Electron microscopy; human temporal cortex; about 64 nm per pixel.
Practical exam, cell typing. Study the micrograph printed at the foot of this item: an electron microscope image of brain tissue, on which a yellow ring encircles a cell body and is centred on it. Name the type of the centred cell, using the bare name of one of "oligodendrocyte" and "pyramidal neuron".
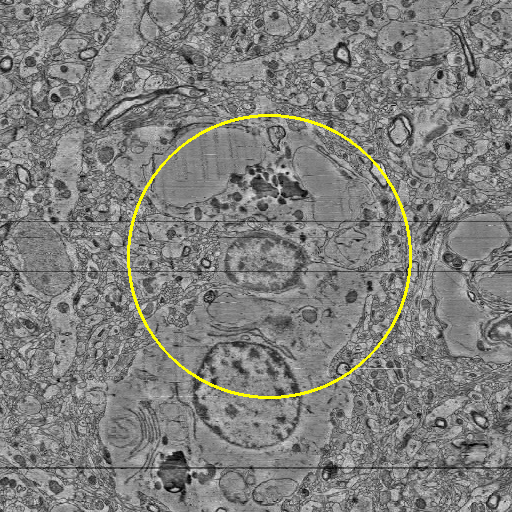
oligodendrocyte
